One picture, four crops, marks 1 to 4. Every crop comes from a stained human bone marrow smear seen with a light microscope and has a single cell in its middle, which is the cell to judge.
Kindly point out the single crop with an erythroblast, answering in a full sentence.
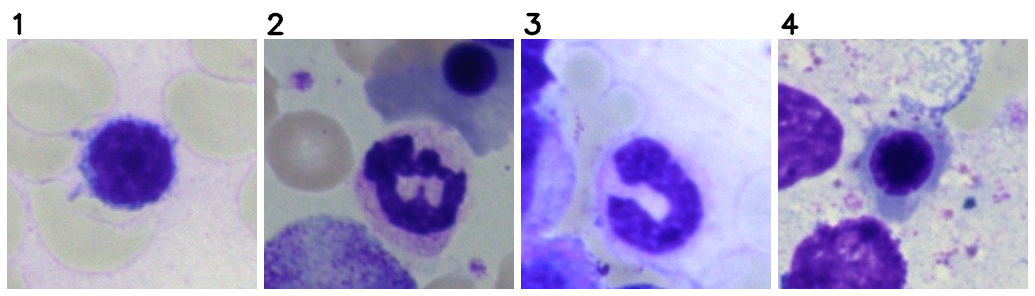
Within this set, crop 4 is the one with an erythroblast at its center.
